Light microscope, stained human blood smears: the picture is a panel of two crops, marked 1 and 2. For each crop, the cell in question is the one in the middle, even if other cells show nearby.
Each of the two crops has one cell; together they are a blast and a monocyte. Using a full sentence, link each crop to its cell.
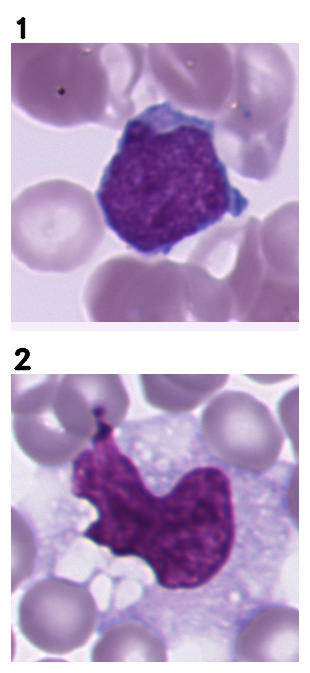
The cell that crop 1 centres on is a blast, and the cell that crop 2 centres on is a monocyte.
